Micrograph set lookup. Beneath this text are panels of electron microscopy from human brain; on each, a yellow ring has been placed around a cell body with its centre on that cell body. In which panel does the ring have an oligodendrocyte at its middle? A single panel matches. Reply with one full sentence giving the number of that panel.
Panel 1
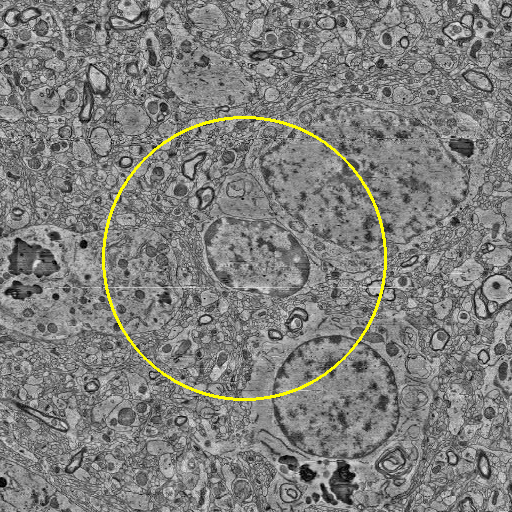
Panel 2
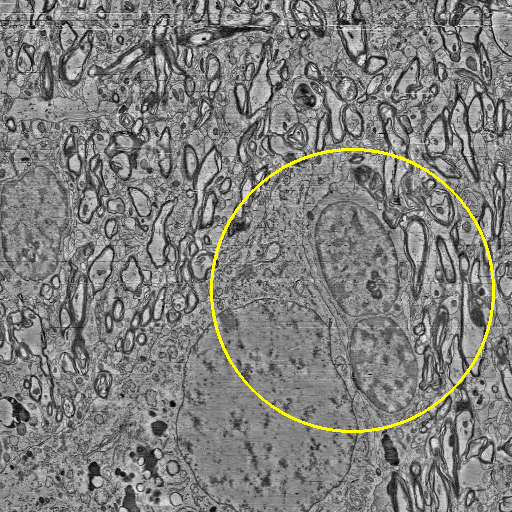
Panel 2 is the one whose ring has the sought cell at its centre.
